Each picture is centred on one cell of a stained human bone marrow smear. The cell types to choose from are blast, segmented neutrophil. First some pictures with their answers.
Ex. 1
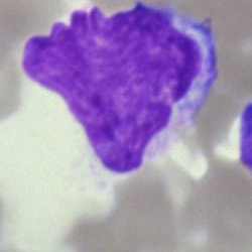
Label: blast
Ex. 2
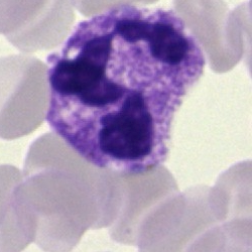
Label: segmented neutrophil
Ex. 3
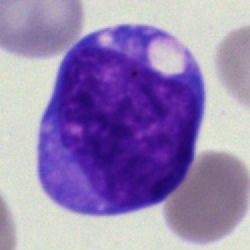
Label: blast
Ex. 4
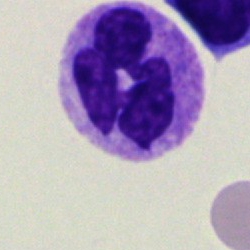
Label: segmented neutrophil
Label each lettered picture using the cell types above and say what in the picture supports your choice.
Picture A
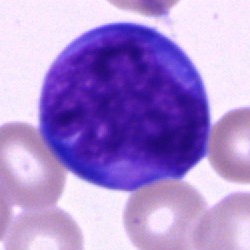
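blast: The cytoplasm forms only a thin rim around the nucleus.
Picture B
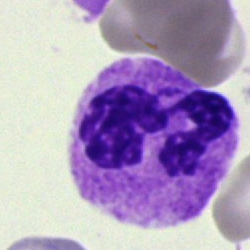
segmented neutrophil: The cytoplasm is abundant and surrounds the nucleus on all sides.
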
